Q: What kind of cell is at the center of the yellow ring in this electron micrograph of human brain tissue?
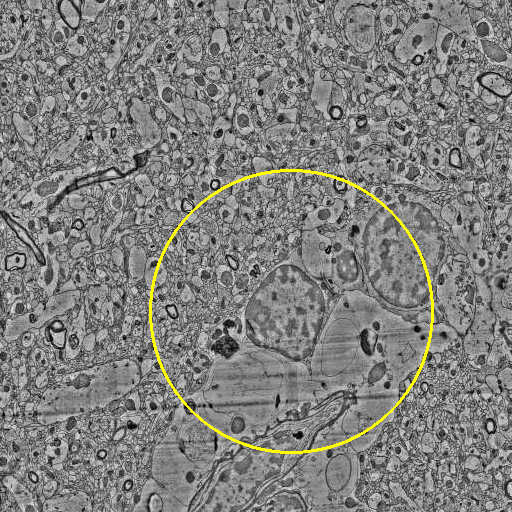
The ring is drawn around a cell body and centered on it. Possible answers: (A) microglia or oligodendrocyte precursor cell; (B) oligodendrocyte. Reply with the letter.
A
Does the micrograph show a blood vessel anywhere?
Yes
